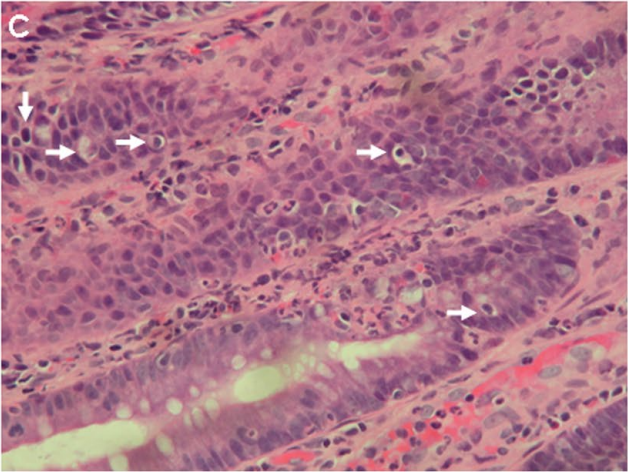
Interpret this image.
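Colonic crypts cut lengthwise, lined by crowded columnar epithelial cells with elongated, dark purple nuclei and pink cytoplasm, show scattered apoptotic bodies within the epithelium. These appear as small, round, dense fragments, each sitting in a clear halo among the epithelial cells. Between the crypts, the pink lamina propria holds many inflammatory cells with small dark or lobed nuclei, along with red blood cells in small vessels. Some crypt lumina are open and pale. The crowding of nuclei and the scattered dying cells within the crypt lining stand out against the normally orderly single layer of columnar cells.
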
